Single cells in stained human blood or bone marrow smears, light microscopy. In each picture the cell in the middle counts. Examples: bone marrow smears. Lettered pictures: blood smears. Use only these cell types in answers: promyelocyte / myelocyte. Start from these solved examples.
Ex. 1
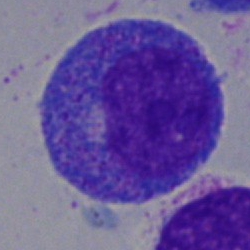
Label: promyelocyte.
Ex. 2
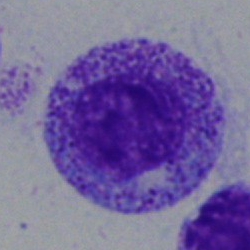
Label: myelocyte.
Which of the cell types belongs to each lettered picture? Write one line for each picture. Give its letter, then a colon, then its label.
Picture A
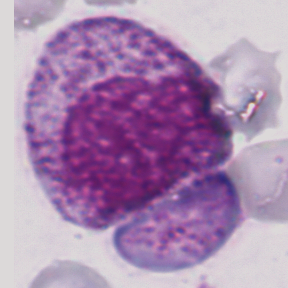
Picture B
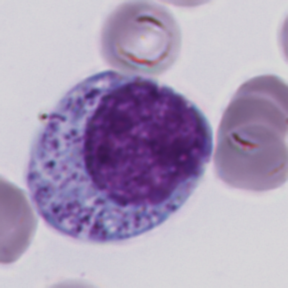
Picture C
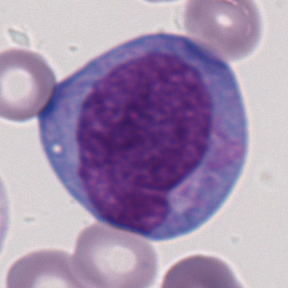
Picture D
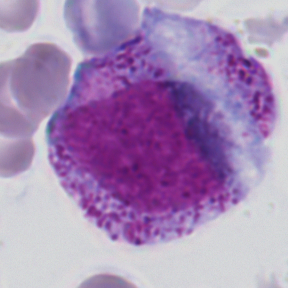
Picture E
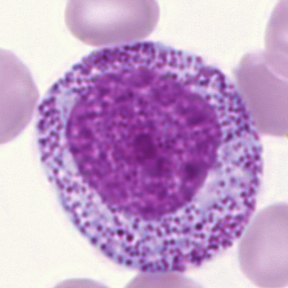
A: myelocyte.
B: myelocyte.
C: promyelocyte.
D: promyelocyte.
E: myelocyte.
